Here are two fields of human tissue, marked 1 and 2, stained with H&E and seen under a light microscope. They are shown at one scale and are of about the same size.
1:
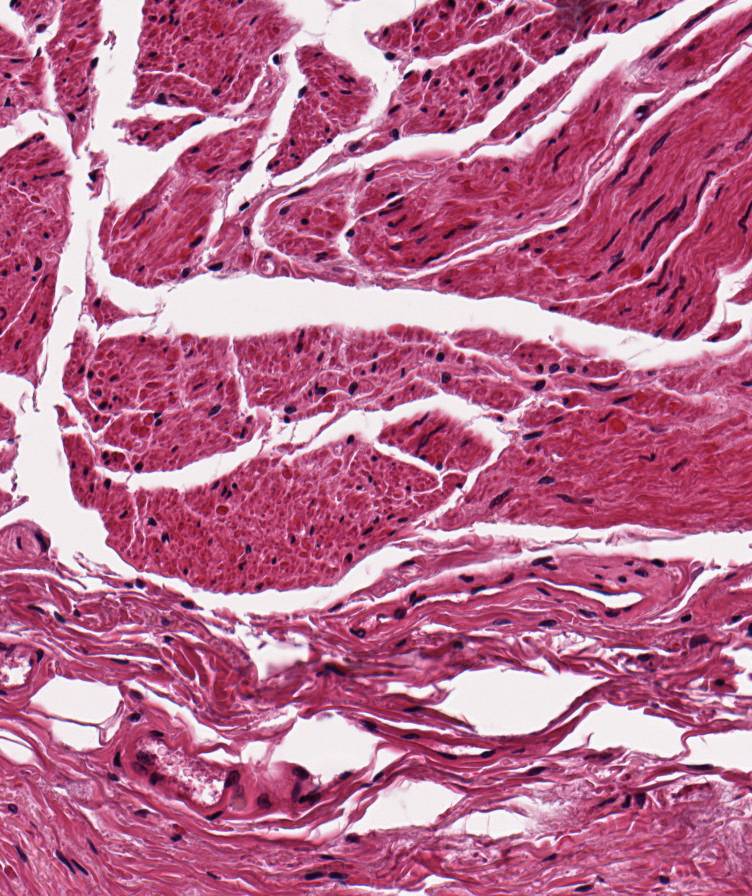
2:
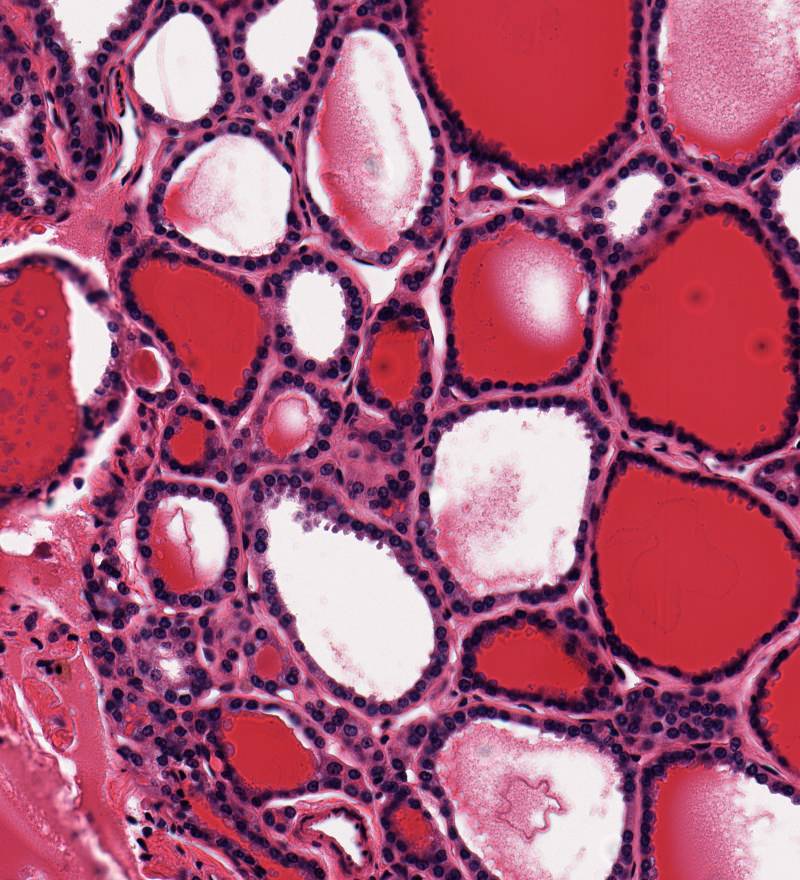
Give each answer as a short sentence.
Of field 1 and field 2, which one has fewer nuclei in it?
It is field 1 that has fewer nuclei in it.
